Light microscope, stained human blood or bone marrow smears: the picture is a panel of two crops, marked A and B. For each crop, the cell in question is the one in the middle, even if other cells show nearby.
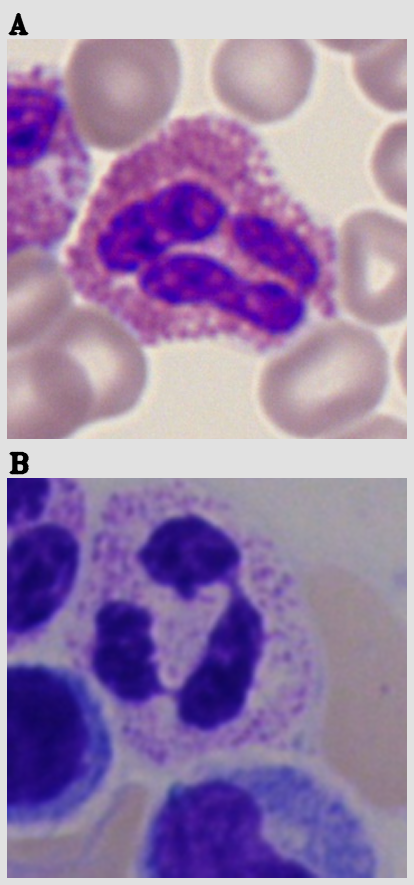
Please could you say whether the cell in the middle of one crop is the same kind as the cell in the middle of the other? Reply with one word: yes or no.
no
